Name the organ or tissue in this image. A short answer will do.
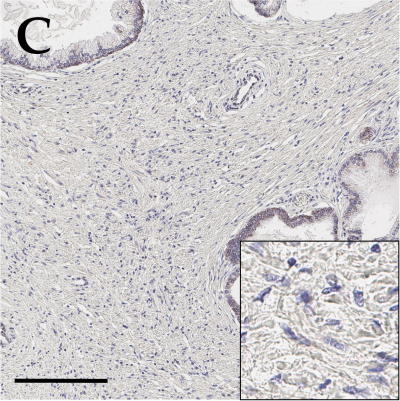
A: Stroma.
